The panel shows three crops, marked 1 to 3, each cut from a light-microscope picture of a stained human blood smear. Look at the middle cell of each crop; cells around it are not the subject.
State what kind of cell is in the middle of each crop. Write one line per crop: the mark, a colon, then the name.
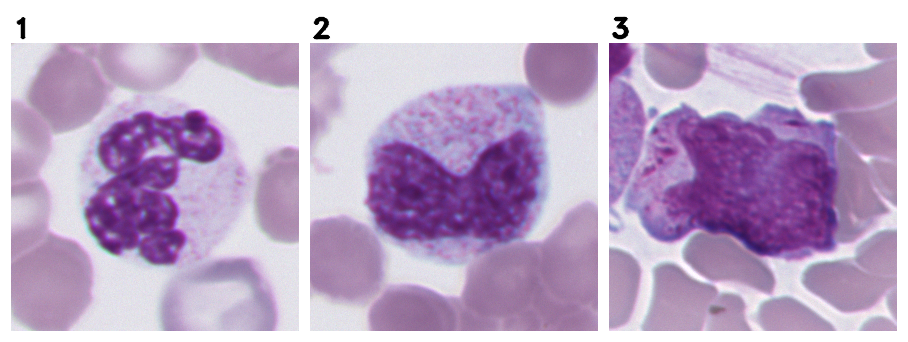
1: segmented neutrophil
2: band neutrophil
3: atypical promyelocyte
